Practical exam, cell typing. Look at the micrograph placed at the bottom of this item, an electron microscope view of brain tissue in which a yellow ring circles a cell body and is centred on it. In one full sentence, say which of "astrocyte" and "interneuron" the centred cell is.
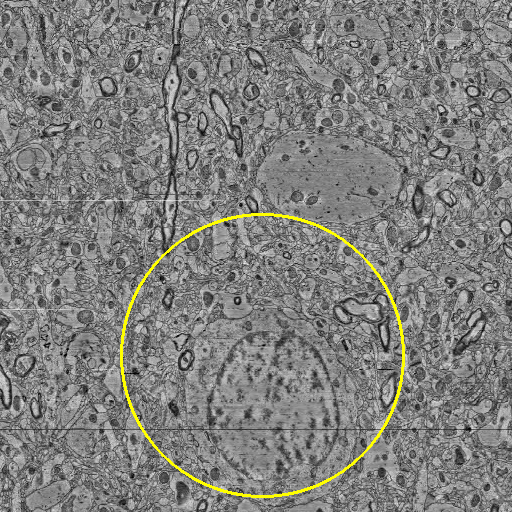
Given the options, an interneuron fits the cell whose body the yellow ring is centred on.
